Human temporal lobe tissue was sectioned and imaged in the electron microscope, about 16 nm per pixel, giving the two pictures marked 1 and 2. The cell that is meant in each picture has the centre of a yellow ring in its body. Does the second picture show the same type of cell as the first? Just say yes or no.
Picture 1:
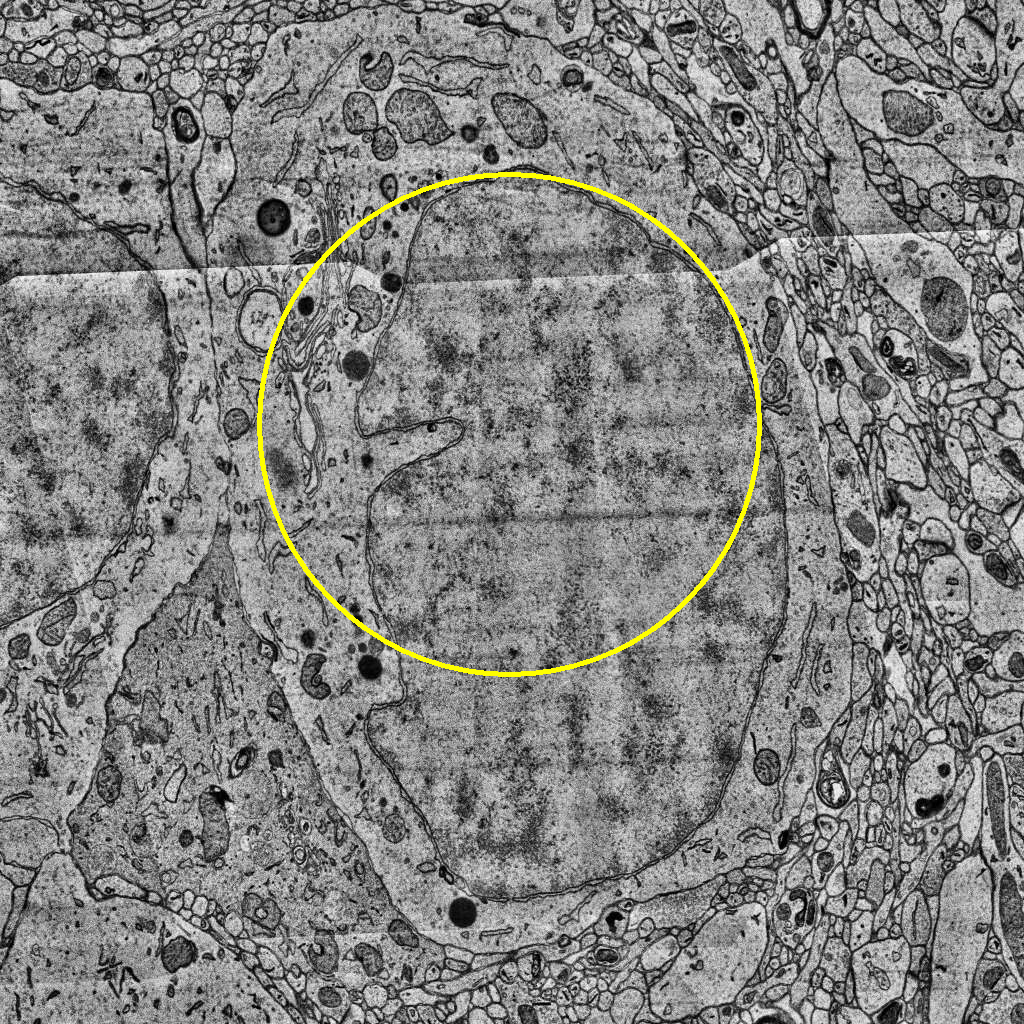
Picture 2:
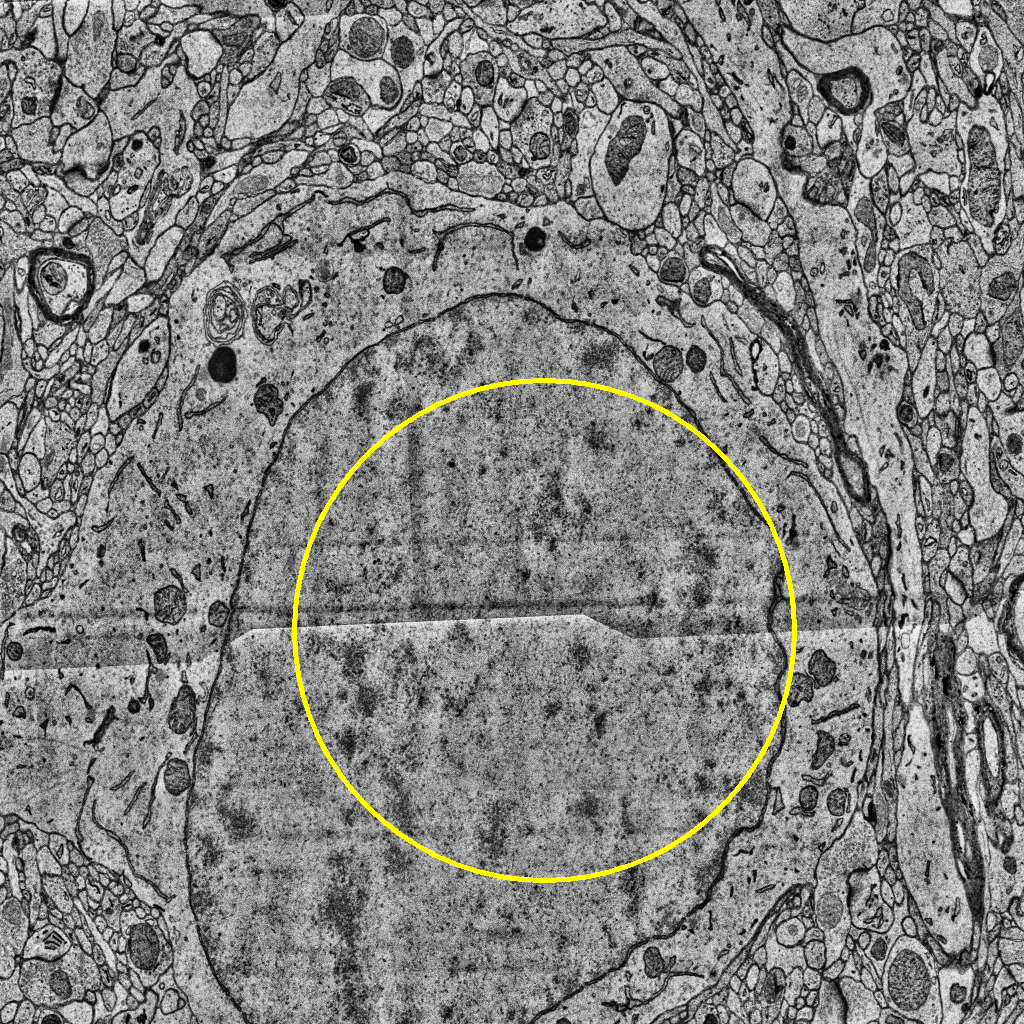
no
